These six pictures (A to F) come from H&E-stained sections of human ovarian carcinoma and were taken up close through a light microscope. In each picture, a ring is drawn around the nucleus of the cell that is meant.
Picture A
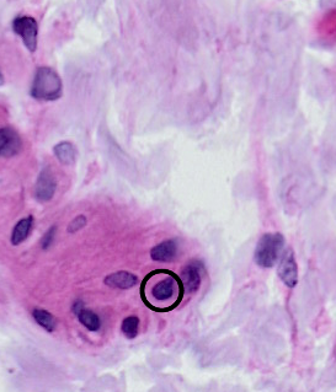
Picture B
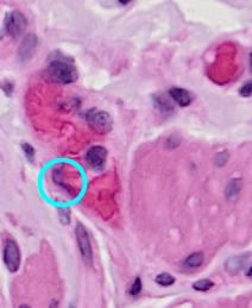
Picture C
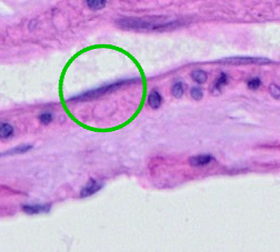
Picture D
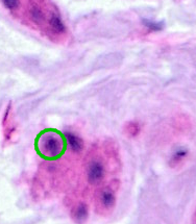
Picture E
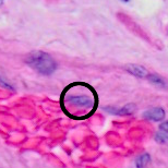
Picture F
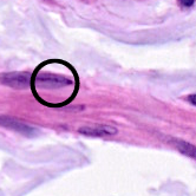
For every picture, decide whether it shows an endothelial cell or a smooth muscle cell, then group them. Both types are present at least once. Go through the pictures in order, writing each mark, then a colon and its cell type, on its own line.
A: smooth muscle cell
B: endothelial cell
C: endothelial cell
D: smooth muscle cell
E: endothelial cell
F: smooth muscle cell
